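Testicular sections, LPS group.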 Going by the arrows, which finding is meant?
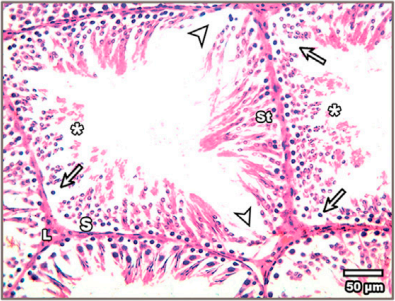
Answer: vacuolation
